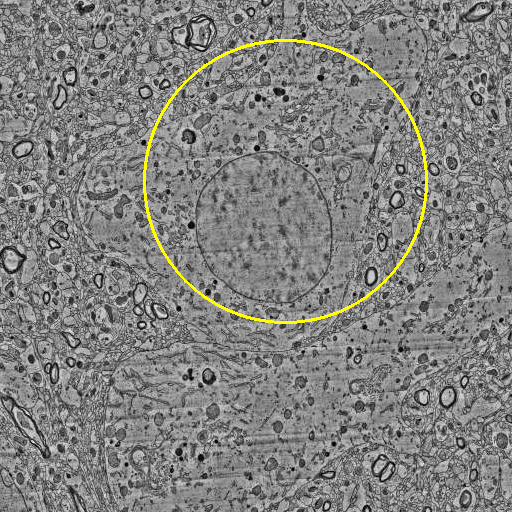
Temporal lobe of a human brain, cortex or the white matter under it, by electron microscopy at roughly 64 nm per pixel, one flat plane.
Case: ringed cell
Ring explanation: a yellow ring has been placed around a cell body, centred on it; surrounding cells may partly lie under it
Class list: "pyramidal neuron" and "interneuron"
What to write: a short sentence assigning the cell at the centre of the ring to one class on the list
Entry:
The cell at the ring's centre is a pyramidal neuron.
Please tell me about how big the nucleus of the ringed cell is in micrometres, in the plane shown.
Roughly 9 micrometres across, measured in this plane.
